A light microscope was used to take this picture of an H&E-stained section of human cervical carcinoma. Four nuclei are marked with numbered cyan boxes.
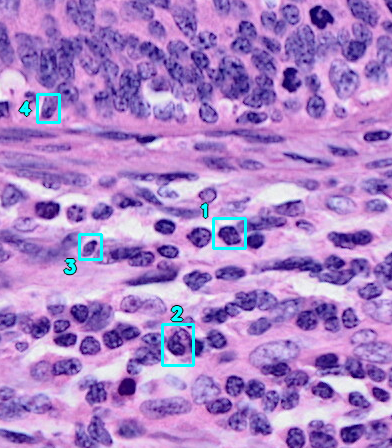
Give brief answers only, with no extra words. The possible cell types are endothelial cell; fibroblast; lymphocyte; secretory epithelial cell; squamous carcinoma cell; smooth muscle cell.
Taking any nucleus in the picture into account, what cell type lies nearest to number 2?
lymphocyte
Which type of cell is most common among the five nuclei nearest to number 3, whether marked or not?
lymphocyte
